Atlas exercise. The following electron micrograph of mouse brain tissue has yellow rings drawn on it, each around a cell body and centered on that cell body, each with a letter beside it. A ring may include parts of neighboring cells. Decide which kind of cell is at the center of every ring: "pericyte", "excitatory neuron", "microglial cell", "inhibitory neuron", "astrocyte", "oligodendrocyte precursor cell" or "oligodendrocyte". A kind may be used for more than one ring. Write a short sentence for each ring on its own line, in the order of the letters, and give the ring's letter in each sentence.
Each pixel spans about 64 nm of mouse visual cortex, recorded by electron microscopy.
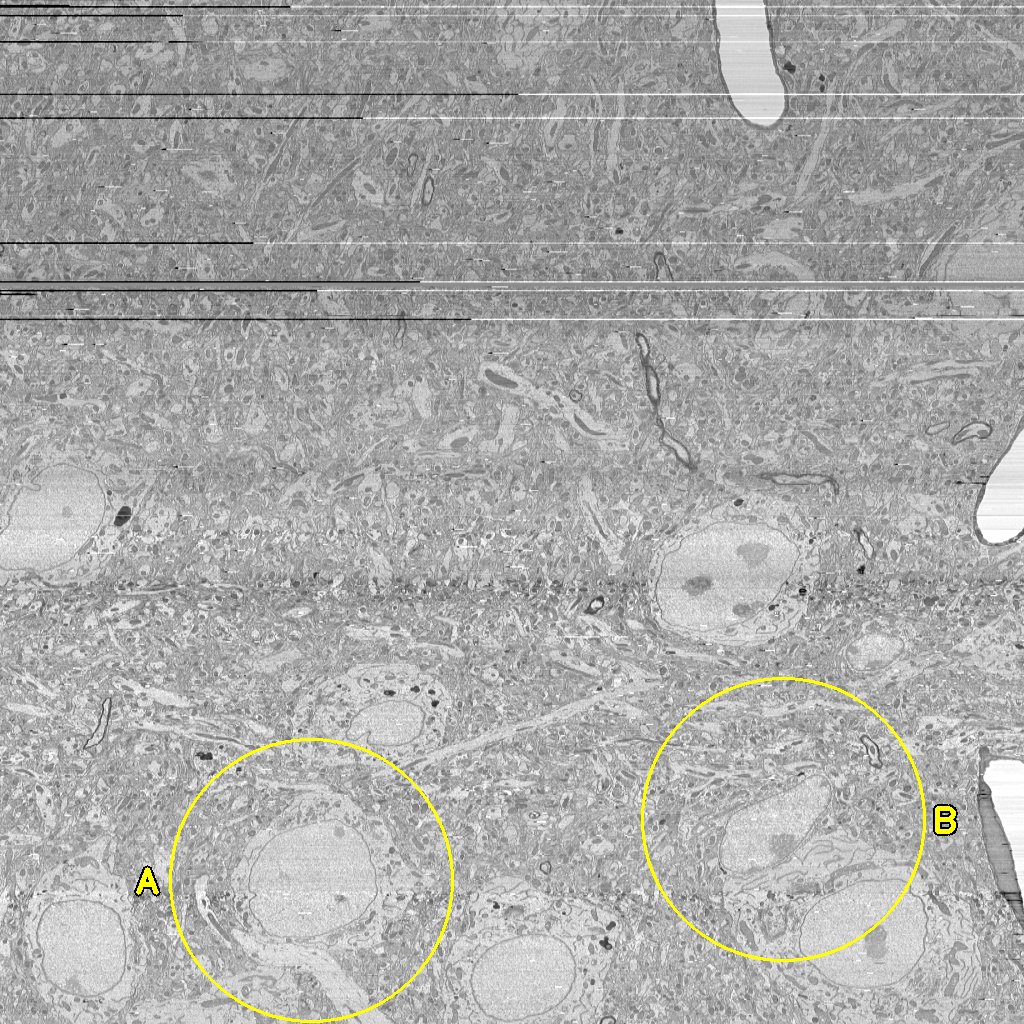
Ring A frames an excitatory neuron at its center.
Ring B frames an astrocyte at its center.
